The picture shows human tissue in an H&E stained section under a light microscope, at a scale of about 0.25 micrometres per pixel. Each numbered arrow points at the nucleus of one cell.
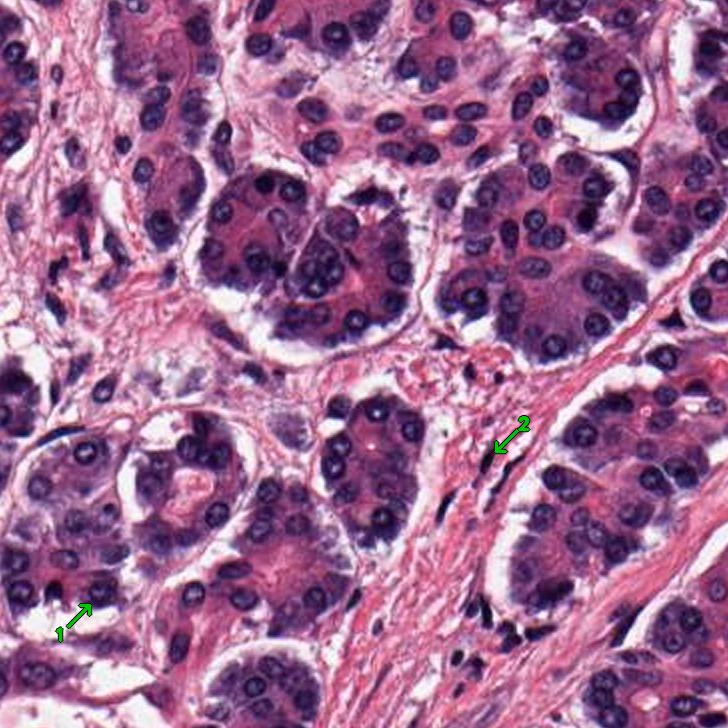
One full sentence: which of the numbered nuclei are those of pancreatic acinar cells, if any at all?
Belonging to a pancreatic acinar cell is true of nucleus 1 only.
